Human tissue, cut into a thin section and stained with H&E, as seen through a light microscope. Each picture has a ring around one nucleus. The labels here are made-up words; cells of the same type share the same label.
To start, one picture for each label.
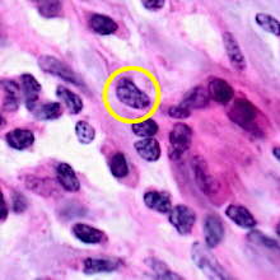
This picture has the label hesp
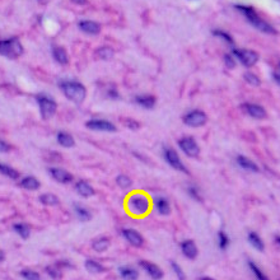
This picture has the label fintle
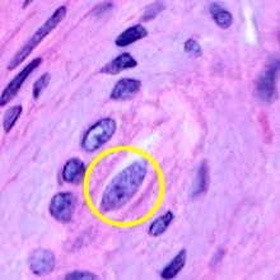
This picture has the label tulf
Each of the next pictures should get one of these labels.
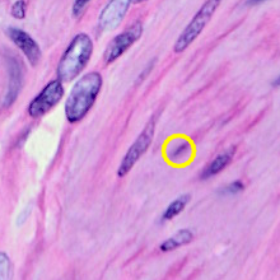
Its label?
fintle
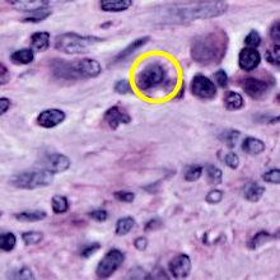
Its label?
hesp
